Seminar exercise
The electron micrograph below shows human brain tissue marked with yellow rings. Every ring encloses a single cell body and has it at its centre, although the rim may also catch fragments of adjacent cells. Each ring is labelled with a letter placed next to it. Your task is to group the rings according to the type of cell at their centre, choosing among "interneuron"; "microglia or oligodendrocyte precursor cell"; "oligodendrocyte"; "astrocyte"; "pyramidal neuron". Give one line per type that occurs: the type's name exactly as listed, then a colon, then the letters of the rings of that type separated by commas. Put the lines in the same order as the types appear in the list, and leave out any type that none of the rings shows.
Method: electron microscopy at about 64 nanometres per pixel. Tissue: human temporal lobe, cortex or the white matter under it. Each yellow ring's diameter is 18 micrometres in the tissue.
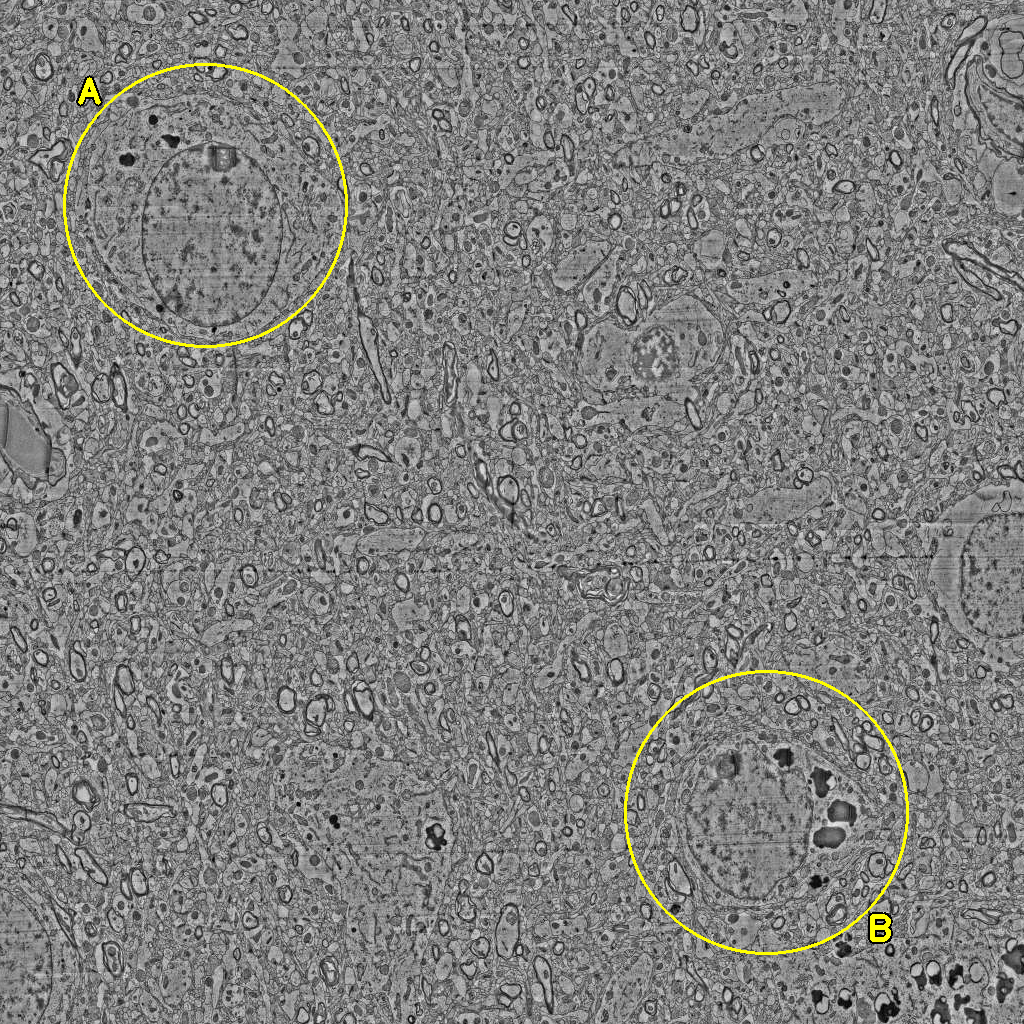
interneuron: B
pyramidal neuron: A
